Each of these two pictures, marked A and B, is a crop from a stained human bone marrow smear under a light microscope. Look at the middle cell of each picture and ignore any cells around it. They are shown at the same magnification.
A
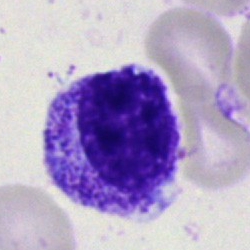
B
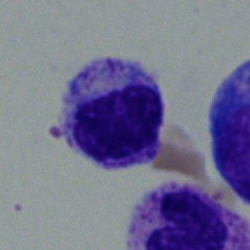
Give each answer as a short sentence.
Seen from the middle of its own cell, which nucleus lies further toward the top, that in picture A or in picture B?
It is the nucleus in picture A that lies further toward the top of its cell.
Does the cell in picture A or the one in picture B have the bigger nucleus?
It is the nucleus in picture A, about 2 times as large in area as the one in picture B.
